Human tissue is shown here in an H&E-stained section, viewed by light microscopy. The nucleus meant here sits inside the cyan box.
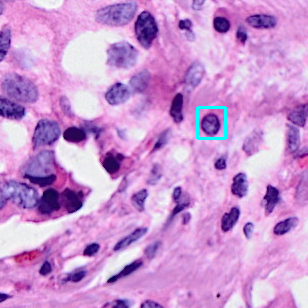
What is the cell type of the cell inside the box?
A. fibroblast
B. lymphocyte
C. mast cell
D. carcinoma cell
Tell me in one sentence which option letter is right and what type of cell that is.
Option C is the one to take: the cell inside the box is a mast cell.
